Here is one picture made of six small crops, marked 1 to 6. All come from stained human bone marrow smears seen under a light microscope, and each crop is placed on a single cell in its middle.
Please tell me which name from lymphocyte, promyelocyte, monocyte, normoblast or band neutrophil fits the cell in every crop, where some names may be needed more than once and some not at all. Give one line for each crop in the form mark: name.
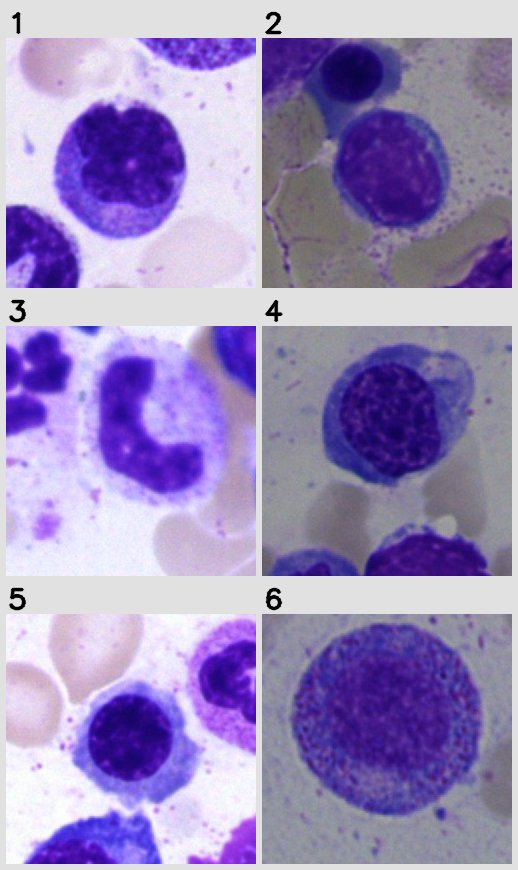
1: monocyte
2: lymphocyte
3: band neutrophil
4: normoblast
5: normoblast
6: promyelocyte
